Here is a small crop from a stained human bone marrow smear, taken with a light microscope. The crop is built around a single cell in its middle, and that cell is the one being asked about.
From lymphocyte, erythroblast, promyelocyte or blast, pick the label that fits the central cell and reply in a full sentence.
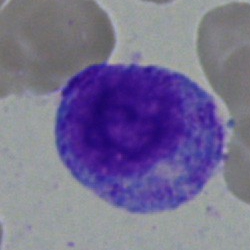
Of the cells in this crop, the central one is a promyelocyte.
